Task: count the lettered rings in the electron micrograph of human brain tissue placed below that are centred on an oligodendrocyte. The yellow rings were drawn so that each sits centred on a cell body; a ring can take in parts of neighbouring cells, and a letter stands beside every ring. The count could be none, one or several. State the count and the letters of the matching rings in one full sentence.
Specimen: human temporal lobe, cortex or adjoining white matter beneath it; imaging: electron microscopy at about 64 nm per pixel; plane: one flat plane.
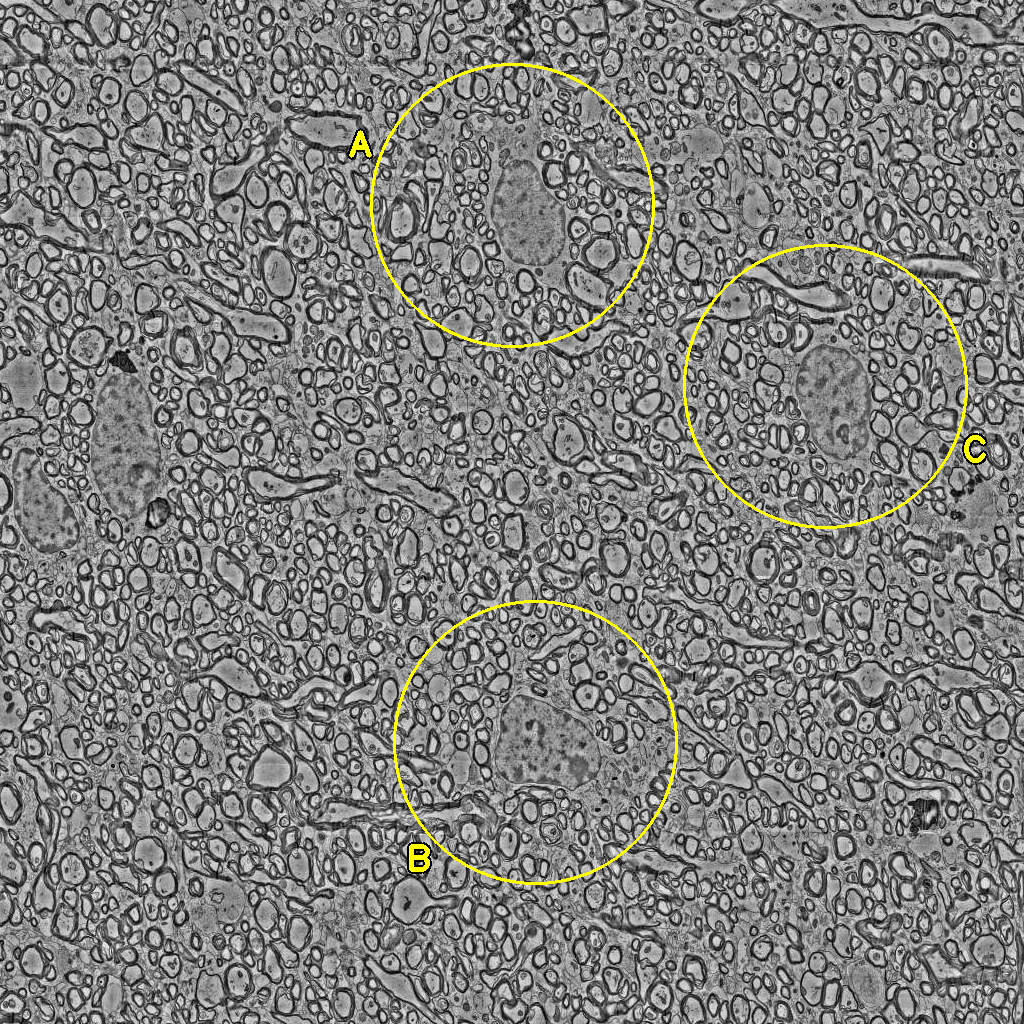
The two rings accompanied by the letters A and C each have an oligodendrocyte as their centre.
